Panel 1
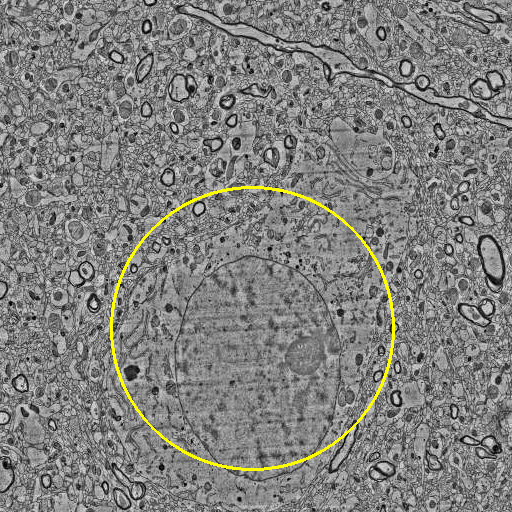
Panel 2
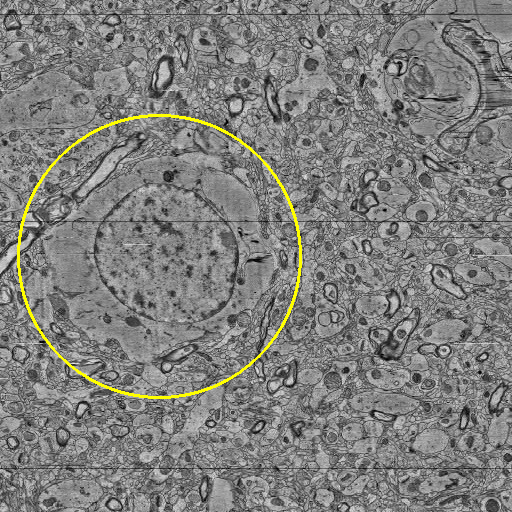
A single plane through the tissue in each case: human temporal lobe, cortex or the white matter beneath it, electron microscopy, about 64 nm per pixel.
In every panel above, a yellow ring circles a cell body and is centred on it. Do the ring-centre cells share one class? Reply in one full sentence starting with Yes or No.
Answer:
No, the two cells at the ring centres in the panels belong to two classes.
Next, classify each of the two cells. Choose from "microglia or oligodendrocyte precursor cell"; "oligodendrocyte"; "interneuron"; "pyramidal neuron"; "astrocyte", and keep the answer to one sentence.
In the first picture it is a pyramidal neuron; in the second it is an astrocyte.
